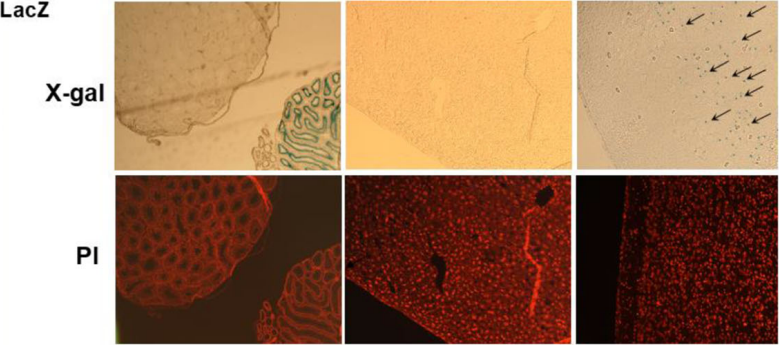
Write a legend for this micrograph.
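The top row shows bright-field sections. In the first, rounded tubule profiles are unstained, while a corner of tightly coiled tubules is stained blue-green. The second shows a pale, evenly textured tissue with no blue. The bottom row shows matching fields with red nuclear fluorescence. The first shows round tubule cross-sections outlined by nuclei next to coiled tubules. The second shows evenly scattered nuclei broken by dark vessel spaces.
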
